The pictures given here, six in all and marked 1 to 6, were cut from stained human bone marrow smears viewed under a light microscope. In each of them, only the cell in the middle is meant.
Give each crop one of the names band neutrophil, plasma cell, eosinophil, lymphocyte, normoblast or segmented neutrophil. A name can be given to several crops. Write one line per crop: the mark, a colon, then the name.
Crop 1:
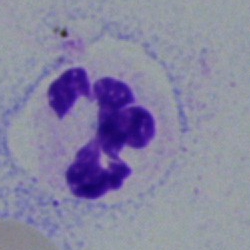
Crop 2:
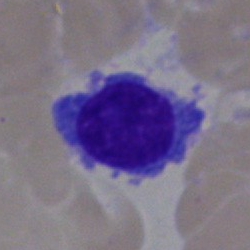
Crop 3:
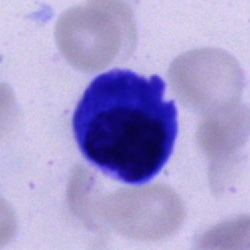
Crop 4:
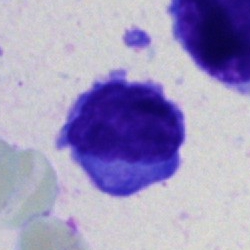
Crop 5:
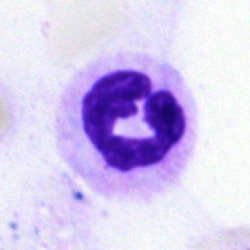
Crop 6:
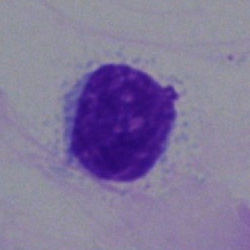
1: segmented neutrophil
2: plasma cell
3: plasma cell
4: plasma cell
5: segmented neutrophil
6: lymphocyte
